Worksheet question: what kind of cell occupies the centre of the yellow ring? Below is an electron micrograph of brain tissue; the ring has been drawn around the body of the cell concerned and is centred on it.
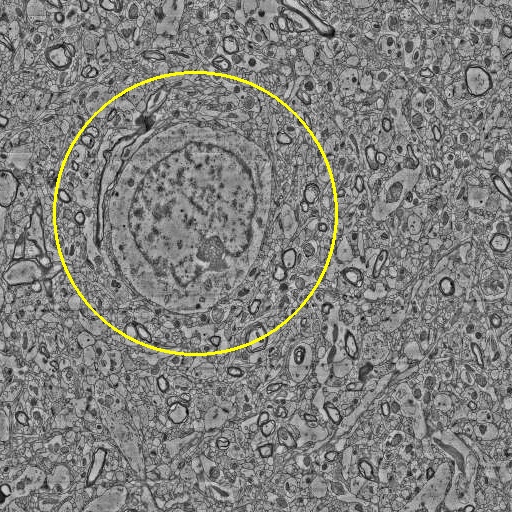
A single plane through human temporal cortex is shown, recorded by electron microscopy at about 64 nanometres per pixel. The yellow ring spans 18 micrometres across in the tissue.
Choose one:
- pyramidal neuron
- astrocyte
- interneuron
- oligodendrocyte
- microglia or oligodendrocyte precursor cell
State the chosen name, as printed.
interneuron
